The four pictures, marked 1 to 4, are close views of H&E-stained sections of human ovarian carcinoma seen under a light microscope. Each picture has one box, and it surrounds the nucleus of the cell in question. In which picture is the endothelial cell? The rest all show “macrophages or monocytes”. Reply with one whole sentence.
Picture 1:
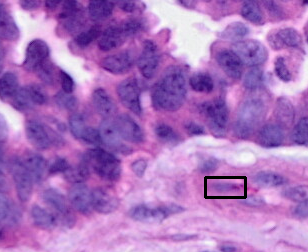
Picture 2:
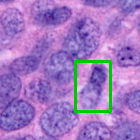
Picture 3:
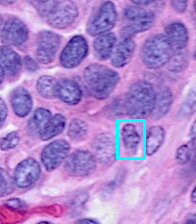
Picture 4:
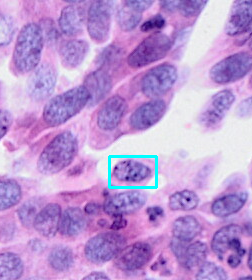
Picture 1 shows the endothelial cell.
